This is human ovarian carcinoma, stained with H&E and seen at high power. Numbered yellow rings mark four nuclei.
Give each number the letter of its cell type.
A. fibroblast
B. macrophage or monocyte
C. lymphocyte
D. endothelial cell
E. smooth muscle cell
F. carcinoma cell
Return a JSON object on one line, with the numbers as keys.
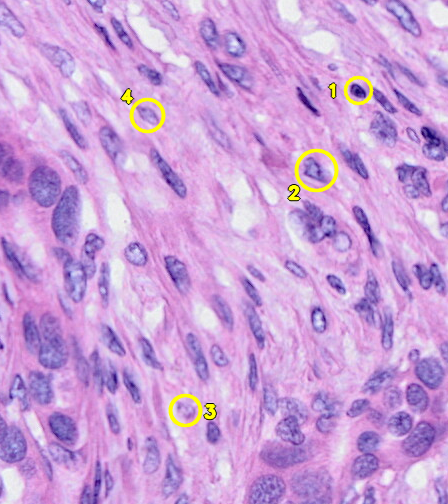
{"1": "C", "2": "A", "3": "A", "4": "A"}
